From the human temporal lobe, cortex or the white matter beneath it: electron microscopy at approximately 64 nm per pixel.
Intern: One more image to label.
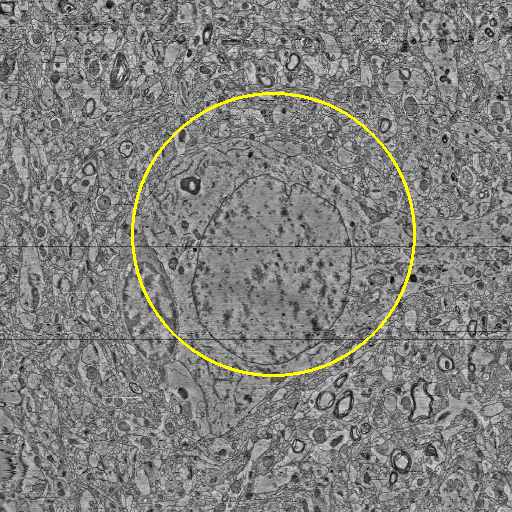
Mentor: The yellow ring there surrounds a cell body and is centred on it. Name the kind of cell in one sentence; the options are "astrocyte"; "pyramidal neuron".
The ring marks the cell body of a pyramidal neuron.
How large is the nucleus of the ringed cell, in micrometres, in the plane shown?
In this plane, approximately 13 by 10 micrometers.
